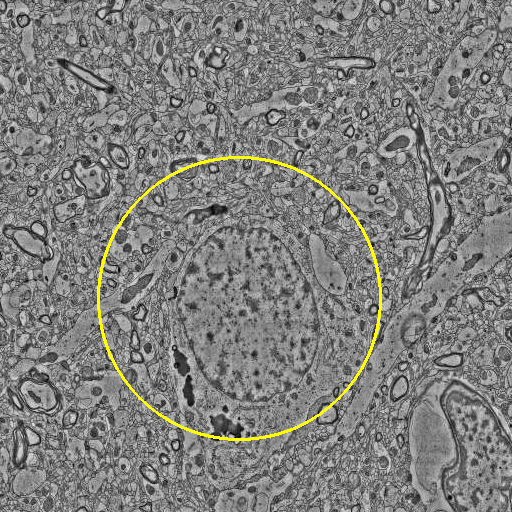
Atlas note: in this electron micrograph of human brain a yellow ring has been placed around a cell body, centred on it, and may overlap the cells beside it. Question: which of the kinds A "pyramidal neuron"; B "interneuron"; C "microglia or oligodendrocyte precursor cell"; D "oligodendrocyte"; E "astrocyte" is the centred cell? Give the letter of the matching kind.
B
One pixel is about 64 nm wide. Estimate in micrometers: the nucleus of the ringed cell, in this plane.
Roughly 11 by 9 micrometres is the size of the nucleus in this plane.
